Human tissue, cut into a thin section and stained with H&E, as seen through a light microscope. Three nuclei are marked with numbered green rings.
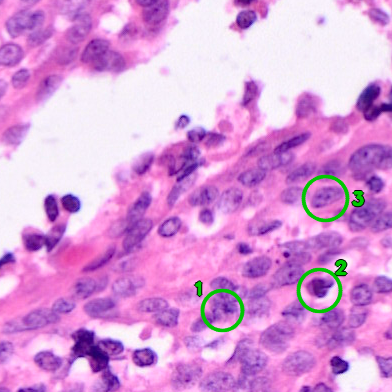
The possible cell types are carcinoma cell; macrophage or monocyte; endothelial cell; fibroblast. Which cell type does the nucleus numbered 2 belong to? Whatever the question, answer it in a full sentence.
Number 2 among the marked cells is a carcinoma cell.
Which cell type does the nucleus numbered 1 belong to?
Numbered cell 1 is a carcinoma cell in this tissue section.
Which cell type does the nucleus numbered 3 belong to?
The cell marked with number 3 is a macrophage or monocyte.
